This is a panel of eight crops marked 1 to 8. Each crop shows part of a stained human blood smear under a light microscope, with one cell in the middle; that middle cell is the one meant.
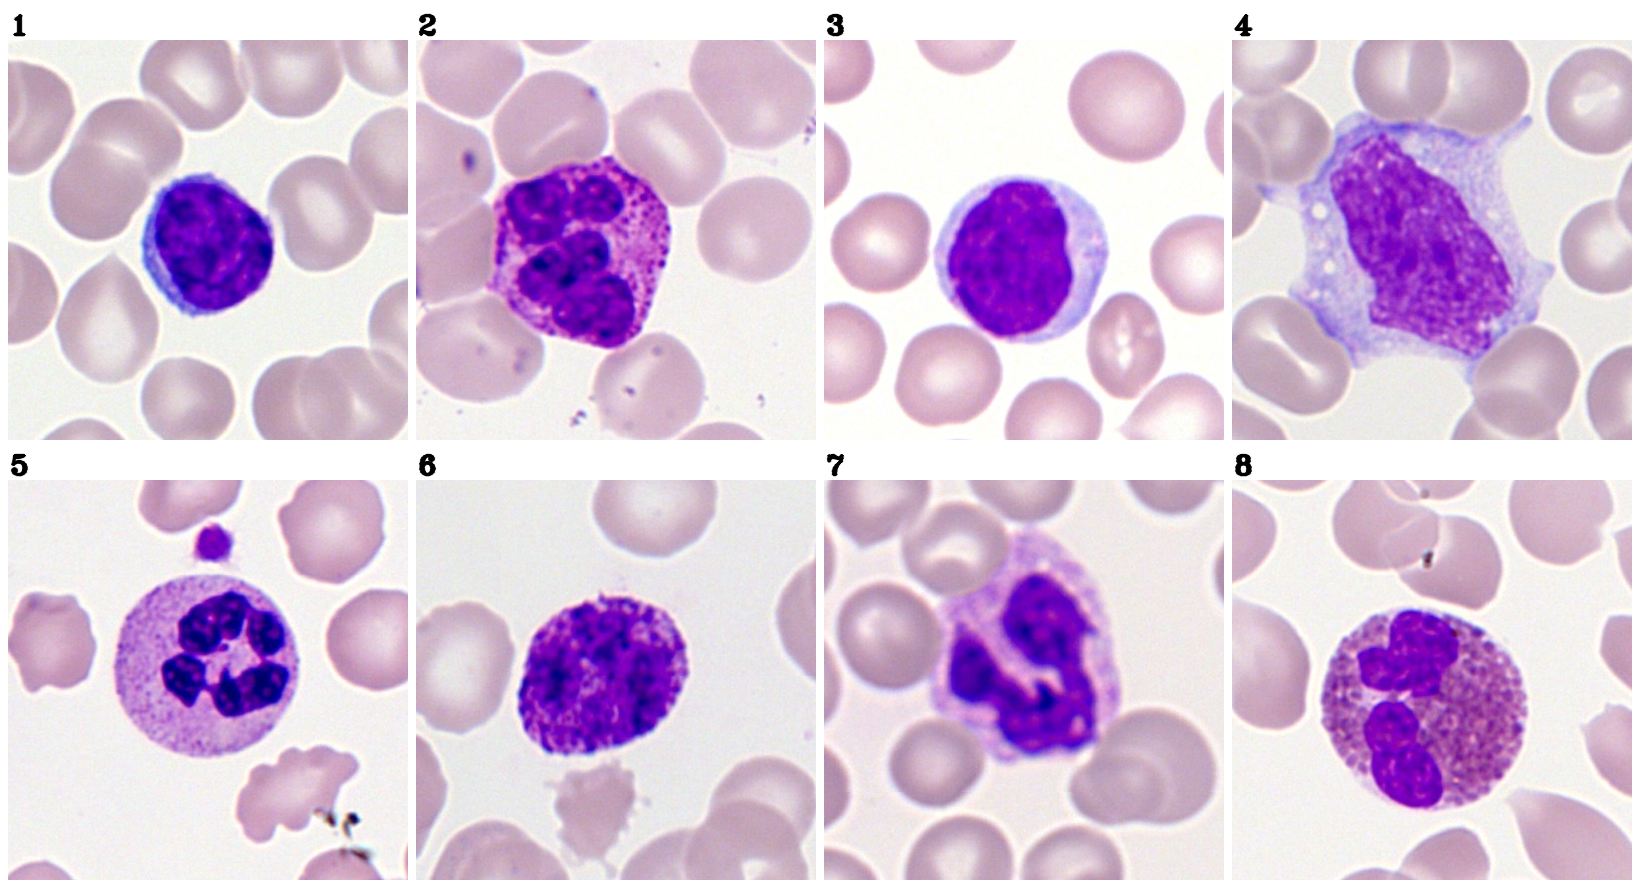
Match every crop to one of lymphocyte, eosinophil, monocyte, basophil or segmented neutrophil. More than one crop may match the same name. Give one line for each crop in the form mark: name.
1: lymphocyte
2: basophil
3: lymphocyte
4: monocyte
5: segmented neutrophil
6: basophil
7: basophil
8: eosinophil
